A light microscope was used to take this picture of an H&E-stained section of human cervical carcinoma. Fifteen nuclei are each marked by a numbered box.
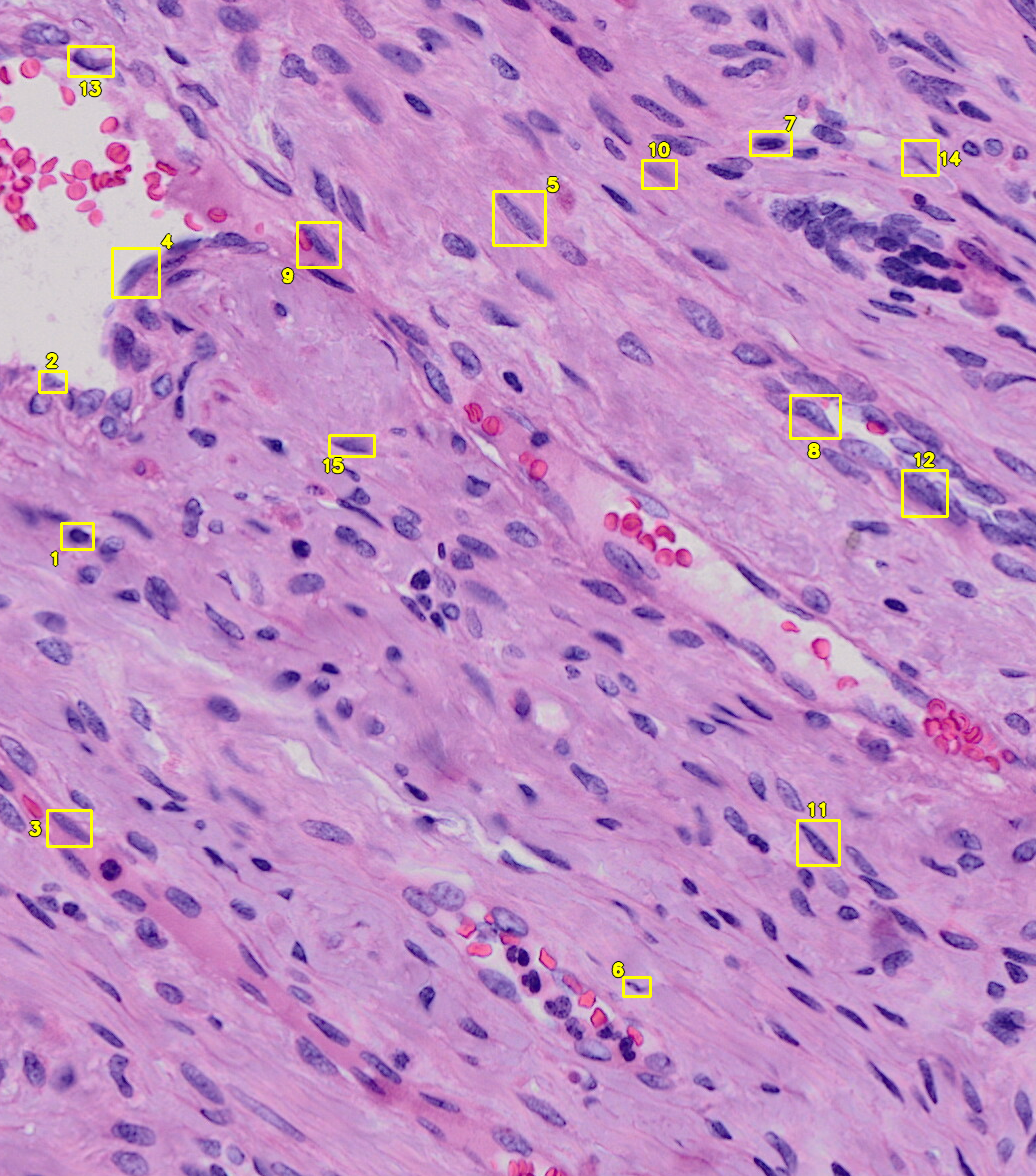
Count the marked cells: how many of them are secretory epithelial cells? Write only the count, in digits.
0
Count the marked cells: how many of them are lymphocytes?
2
